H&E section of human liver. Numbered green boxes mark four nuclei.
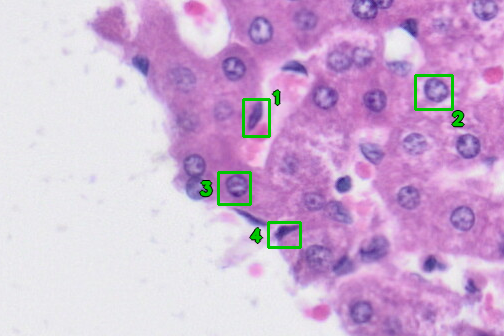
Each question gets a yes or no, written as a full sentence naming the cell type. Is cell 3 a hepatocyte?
Yes, with respect to number 3, the cell is a hepatocyte.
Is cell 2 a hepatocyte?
Yes, the cell carrying label 2 is a hepatocyte.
